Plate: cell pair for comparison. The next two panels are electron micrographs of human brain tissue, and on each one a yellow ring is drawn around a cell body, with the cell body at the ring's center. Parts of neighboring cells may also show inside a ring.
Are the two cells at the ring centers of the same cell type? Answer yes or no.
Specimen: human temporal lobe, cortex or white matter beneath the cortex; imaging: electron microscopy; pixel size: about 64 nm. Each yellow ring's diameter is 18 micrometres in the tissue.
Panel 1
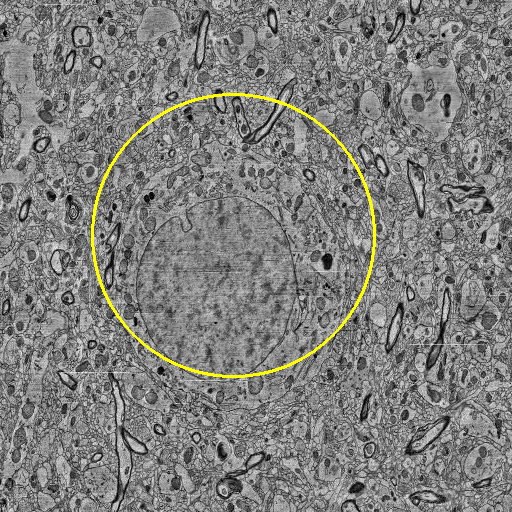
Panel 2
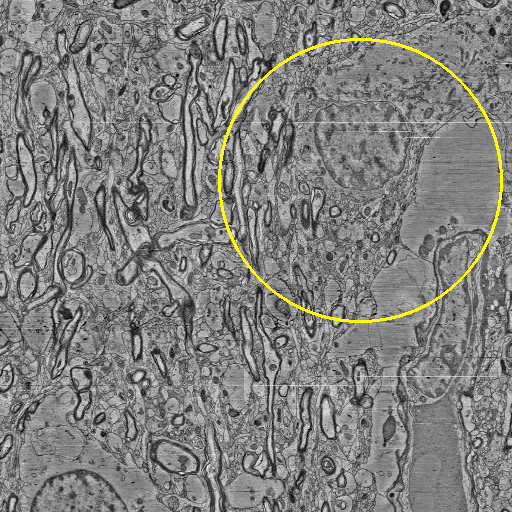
no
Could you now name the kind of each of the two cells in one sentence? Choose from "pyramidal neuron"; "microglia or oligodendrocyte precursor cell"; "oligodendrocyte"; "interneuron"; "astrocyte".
The first ring encloses an interneuron; the second ring encloses an oligodendrocyte.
